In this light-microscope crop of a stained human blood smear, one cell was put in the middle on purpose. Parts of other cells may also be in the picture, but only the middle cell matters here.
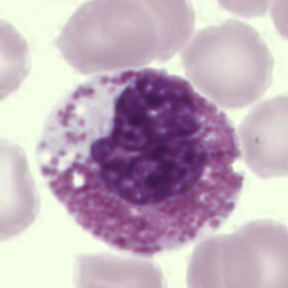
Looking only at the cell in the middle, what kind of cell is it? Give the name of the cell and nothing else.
eosinophil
